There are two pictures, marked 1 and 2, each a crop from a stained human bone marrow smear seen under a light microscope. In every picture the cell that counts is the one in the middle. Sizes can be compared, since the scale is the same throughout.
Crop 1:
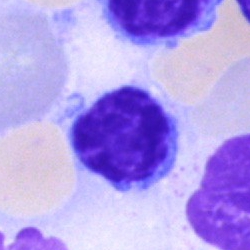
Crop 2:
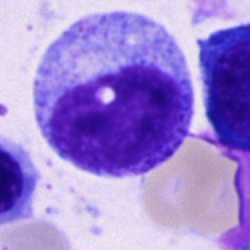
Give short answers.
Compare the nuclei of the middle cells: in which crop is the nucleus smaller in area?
1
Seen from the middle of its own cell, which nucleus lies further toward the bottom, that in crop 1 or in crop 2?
2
